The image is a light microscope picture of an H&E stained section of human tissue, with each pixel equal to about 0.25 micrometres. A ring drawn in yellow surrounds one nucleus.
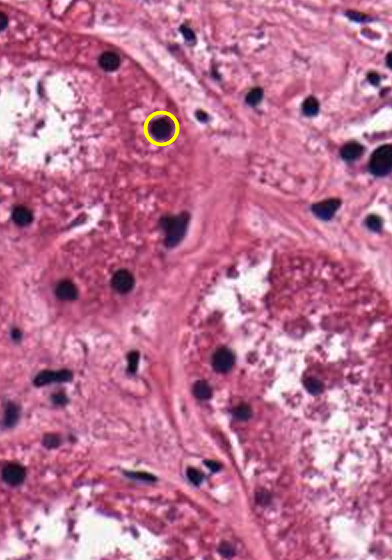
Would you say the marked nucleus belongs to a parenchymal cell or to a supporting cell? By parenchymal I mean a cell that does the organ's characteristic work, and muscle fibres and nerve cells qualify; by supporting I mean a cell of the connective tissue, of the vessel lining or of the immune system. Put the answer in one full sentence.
In this picture the marked nucleus belongs to a proximal tubule cell, a parenchymal cell.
